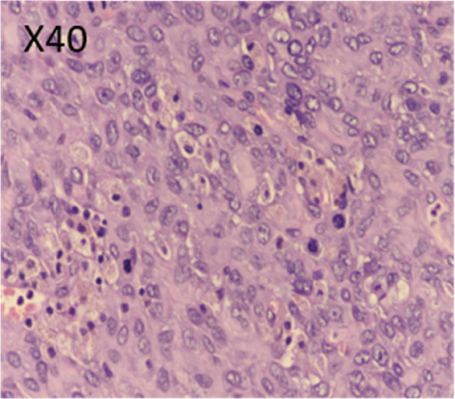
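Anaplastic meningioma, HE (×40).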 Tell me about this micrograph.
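Densely cellular tumor tissue made of closely packed cells with pink cytoplasm and round to oval nuclei that vary in size and shape. Scattered enlarged, darkly stained nuclei stand among paler vesicular ones, and some cells have clear spaces around their nuclei.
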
